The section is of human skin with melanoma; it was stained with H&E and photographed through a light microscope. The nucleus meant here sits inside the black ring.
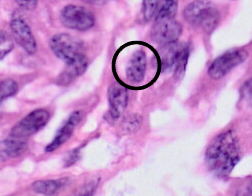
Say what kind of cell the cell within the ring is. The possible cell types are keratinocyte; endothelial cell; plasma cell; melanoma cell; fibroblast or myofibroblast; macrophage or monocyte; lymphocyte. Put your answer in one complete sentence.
Assigned to a cell type, the cell within the ring is a melanoma cell.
